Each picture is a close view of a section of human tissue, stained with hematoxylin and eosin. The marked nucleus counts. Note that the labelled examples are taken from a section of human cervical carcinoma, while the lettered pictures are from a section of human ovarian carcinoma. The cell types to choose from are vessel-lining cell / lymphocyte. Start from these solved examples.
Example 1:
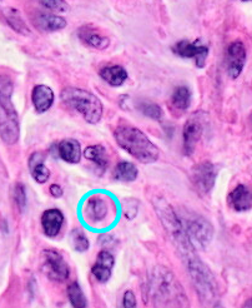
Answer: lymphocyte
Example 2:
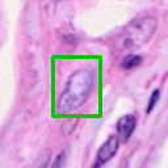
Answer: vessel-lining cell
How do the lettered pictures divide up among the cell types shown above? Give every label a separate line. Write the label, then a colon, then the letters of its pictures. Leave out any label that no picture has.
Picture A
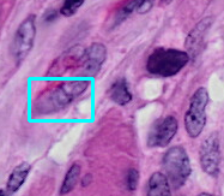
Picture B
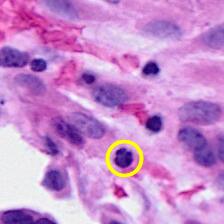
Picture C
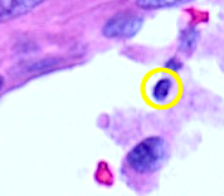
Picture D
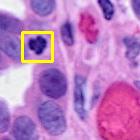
vessel-lining cell: A
lymphocyte: B, C, D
